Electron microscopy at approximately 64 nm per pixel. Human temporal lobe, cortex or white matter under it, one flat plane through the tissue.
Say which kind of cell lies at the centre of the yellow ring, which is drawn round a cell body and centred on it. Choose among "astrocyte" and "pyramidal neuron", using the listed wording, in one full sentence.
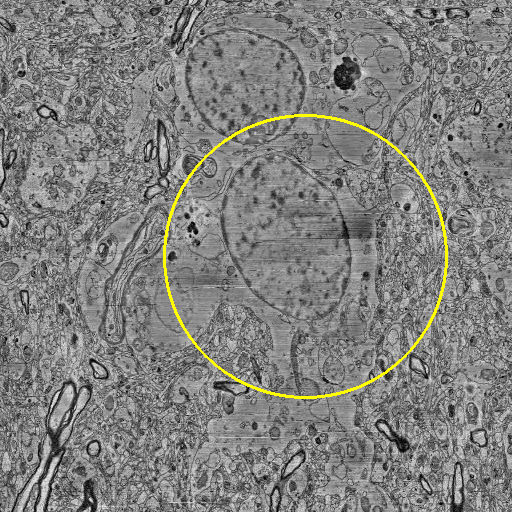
Going by the list, the cell at the yellow ring's centre is an astrocyte.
